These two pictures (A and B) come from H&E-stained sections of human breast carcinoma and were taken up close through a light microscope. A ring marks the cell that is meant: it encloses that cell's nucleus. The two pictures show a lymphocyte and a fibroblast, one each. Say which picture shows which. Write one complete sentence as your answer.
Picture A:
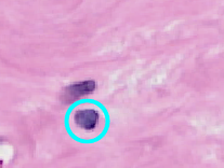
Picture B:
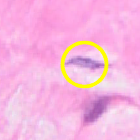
In picture A the cell is a lymphocyte; in picture B, a fibroblast.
